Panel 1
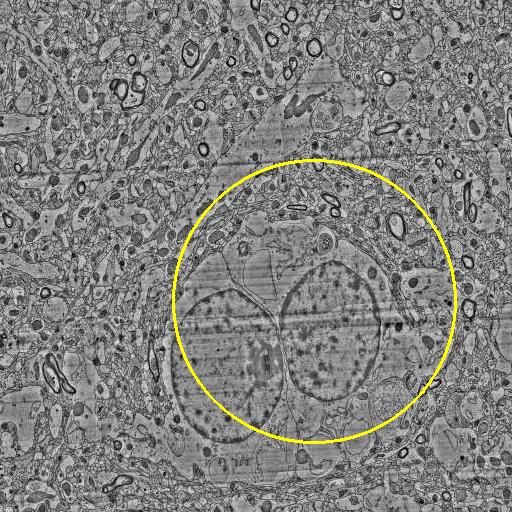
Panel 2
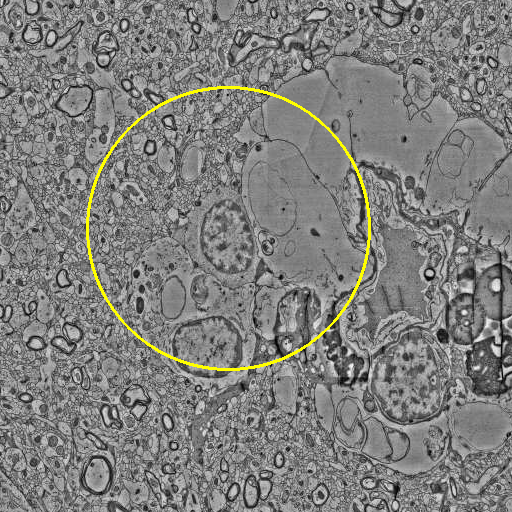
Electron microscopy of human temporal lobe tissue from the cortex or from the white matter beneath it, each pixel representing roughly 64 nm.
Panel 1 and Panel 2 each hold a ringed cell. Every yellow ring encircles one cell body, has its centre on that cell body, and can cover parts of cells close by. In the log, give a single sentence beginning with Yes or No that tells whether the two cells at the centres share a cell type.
No, in Panel 1 and Panel 2 the centred cells are of two cell types.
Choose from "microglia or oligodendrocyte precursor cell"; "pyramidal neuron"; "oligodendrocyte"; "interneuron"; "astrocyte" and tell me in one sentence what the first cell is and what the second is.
What the first ring is centred on is an astrocyte; what the second ring is centred on is an oligodendrocyte.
